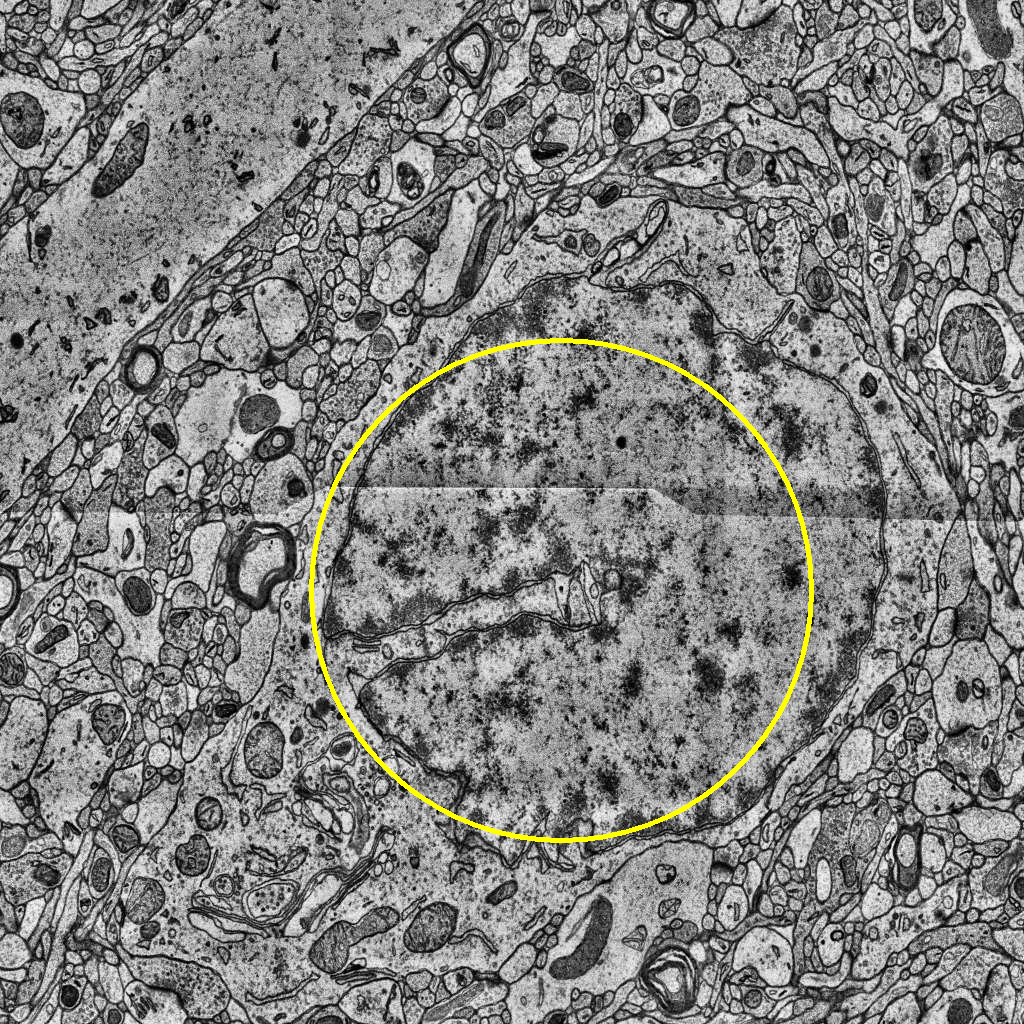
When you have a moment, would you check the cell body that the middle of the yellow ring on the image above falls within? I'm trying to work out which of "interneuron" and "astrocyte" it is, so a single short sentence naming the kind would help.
This cell body belongs to an interneuron.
